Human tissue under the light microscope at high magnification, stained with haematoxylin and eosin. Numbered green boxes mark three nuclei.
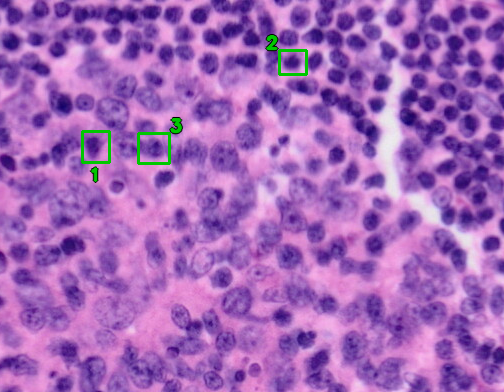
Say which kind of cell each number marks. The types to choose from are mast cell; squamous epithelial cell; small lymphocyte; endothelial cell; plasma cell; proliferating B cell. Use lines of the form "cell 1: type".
cell 1: proliferating B cell
cell 2: small lymphocyte
cell 3: proliferating B cell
